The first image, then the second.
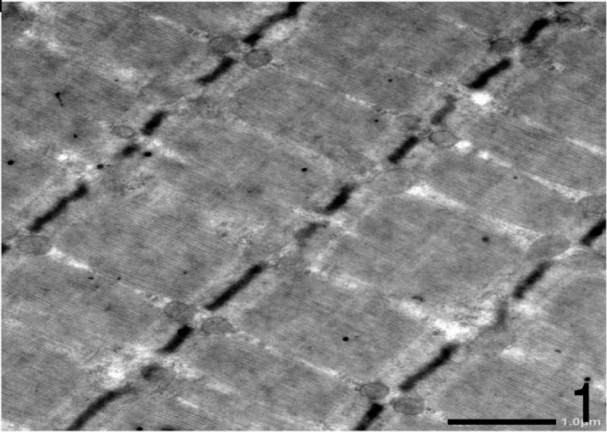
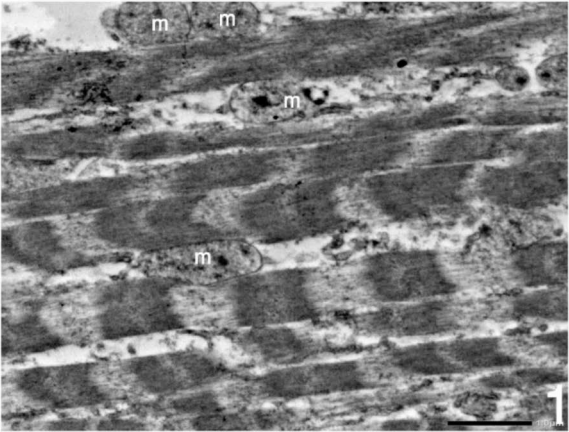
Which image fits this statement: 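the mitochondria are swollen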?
The second image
